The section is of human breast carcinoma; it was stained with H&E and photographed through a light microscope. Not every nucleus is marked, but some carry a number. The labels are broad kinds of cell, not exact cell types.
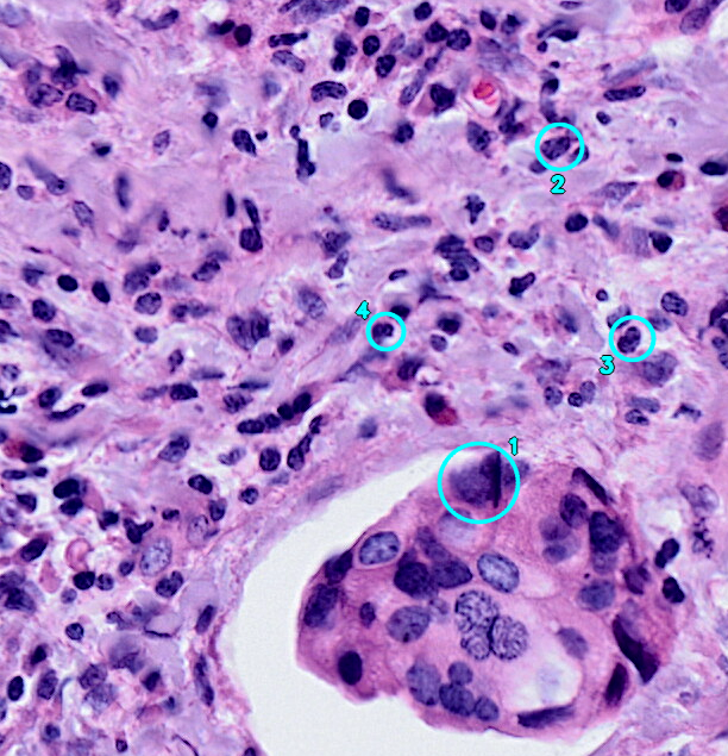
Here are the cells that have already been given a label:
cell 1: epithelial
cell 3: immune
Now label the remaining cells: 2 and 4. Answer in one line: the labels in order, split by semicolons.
immune; immune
